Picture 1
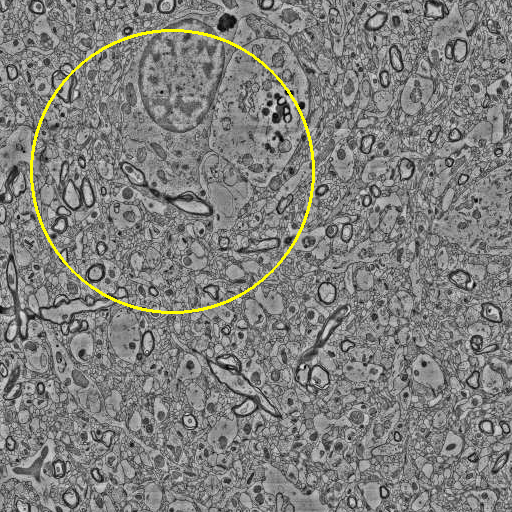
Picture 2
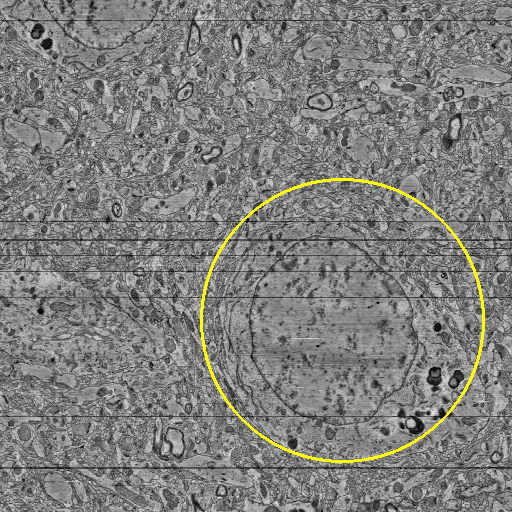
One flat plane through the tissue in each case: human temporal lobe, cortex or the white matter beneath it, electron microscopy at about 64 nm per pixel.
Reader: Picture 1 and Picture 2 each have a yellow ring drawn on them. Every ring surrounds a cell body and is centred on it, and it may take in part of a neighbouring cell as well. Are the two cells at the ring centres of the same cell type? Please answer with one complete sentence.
No, the cells are of two cell types.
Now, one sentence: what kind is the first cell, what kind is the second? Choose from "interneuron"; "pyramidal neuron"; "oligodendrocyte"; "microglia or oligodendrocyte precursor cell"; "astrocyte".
The first picture has an oligodendrocyte at its ring centre, and the second has a pyramidal neuron.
